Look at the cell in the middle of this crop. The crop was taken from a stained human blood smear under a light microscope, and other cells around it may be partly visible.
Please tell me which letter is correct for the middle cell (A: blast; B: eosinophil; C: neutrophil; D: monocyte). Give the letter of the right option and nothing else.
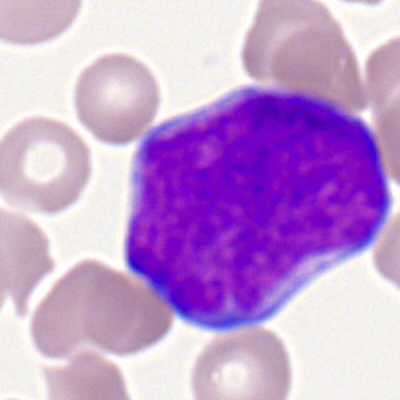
A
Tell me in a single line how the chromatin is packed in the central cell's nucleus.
The chromatin pattern is fine and free of coarse clumps.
